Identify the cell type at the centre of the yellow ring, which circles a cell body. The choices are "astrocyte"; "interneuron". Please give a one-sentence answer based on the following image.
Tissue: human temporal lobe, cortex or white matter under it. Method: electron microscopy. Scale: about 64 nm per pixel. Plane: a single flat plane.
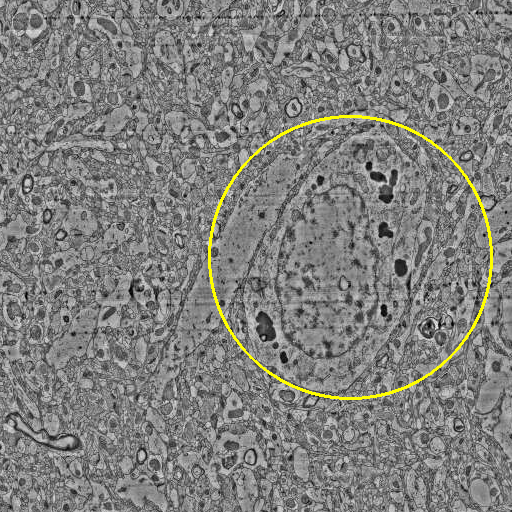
The cell marked by the ring is an interneuron.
